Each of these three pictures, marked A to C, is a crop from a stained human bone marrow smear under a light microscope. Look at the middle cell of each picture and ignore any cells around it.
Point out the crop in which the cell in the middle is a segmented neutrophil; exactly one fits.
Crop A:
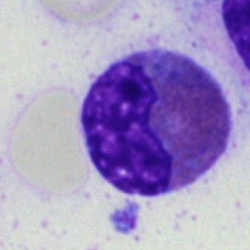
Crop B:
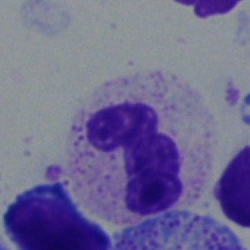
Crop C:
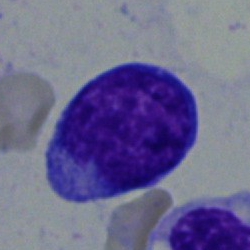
B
